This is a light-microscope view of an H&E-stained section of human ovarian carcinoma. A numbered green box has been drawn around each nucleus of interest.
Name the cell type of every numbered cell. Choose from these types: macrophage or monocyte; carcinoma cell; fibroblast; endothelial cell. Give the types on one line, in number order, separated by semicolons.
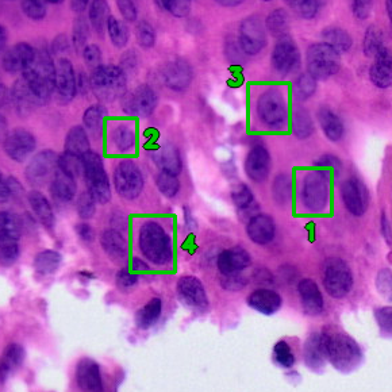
carcinoma cell; macrophage or monocyte; carcinoma cell; carcinoma cell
